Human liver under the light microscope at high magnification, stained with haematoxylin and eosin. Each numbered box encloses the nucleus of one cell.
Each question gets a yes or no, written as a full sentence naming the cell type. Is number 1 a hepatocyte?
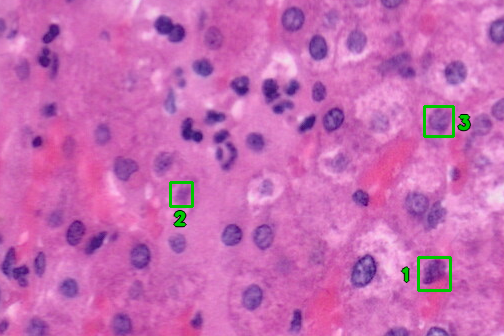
No, calling cell 1 a hepatocyte is incorrect; it is an endothelial cell.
